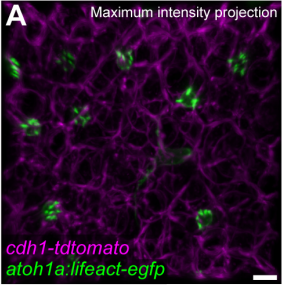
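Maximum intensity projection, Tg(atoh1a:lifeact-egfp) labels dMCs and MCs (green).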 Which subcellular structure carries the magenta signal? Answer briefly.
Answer: keratinocyte membranes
